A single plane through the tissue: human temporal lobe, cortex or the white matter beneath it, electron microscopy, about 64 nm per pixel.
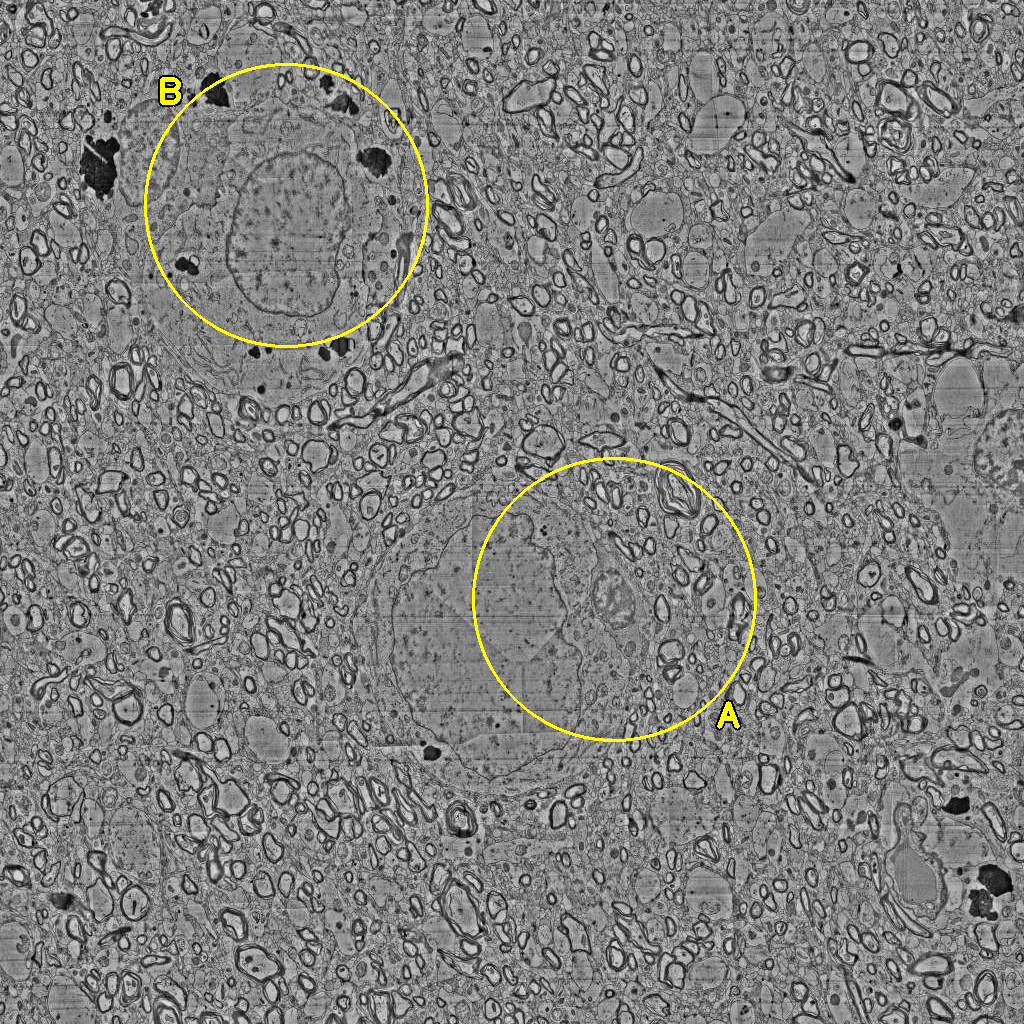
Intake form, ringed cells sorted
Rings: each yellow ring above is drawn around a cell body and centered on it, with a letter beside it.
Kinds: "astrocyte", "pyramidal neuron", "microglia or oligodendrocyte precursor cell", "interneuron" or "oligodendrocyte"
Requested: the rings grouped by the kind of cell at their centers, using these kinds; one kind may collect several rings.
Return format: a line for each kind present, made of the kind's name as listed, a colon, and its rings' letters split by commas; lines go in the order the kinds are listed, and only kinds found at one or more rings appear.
pyramidal neuron: B
oligodendrocyte: A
